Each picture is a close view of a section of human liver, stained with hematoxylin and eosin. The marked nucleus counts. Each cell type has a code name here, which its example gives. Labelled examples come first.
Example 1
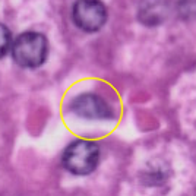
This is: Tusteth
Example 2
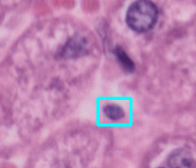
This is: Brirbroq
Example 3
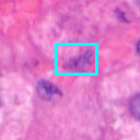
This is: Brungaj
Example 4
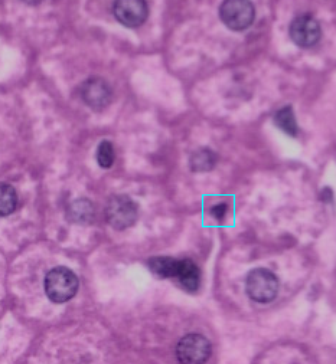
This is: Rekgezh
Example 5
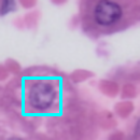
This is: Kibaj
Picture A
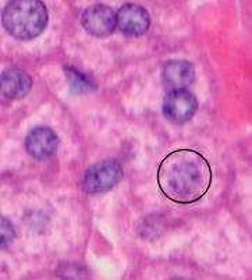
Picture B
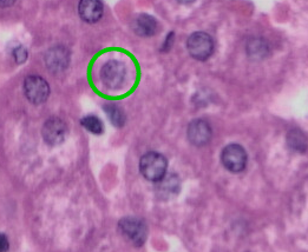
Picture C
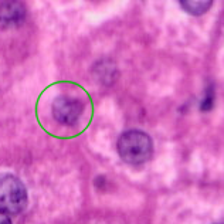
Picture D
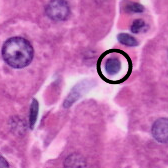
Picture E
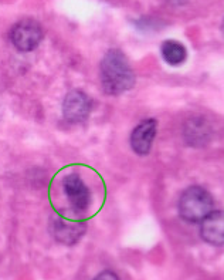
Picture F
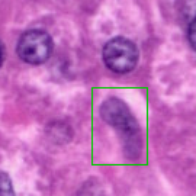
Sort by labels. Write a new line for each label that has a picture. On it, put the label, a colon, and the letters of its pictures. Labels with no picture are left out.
Tusteth: F
Brirbroq: D
Brungaj: C
Rekgezh: E
Kibaj: A, B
